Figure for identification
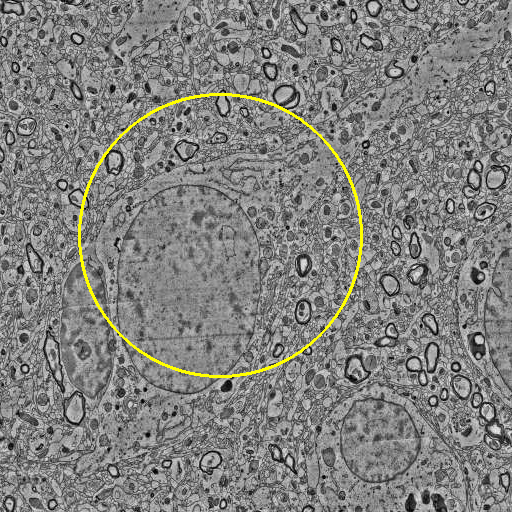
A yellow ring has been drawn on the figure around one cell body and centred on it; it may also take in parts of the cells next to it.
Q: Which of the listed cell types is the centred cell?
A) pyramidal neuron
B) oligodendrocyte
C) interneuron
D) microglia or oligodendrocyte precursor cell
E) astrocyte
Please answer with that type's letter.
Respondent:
A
